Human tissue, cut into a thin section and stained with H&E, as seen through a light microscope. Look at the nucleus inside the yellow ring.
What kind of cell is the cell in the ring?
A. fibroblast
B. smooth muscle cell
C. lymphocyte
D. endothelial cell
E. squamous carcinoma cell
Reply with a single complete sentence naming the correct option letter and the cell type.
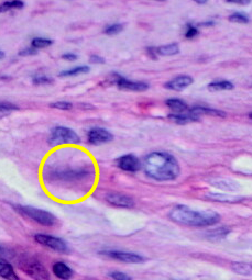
Option D is correct here; the cell in the ring is an endothelial cell.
